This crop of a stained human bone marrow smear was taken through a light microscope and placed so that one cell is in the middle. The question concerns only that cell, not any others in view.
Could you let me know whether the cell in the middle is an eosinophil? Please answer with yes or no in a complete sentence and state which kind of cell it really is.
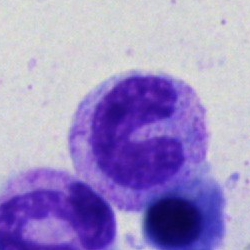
No, the central cell here is a band neutrophil; calling it an eosinophil is not right.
